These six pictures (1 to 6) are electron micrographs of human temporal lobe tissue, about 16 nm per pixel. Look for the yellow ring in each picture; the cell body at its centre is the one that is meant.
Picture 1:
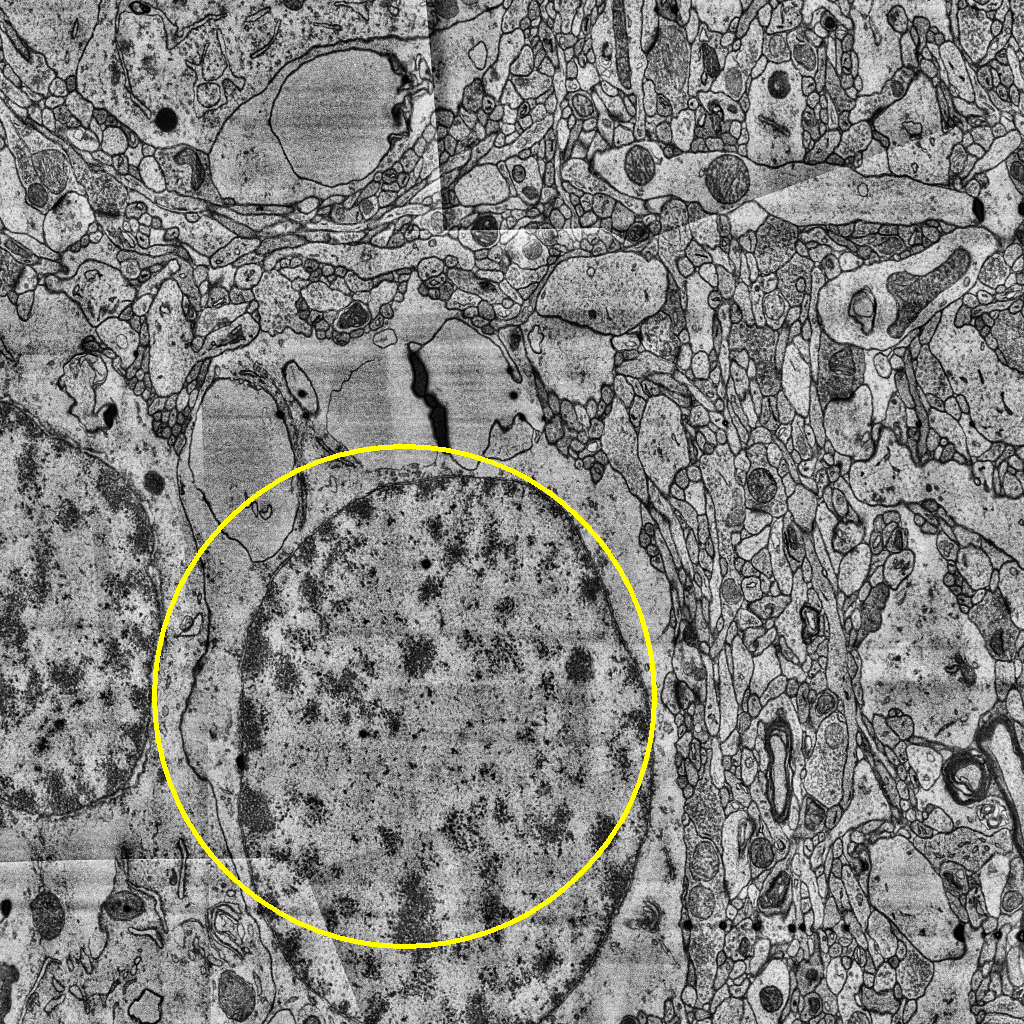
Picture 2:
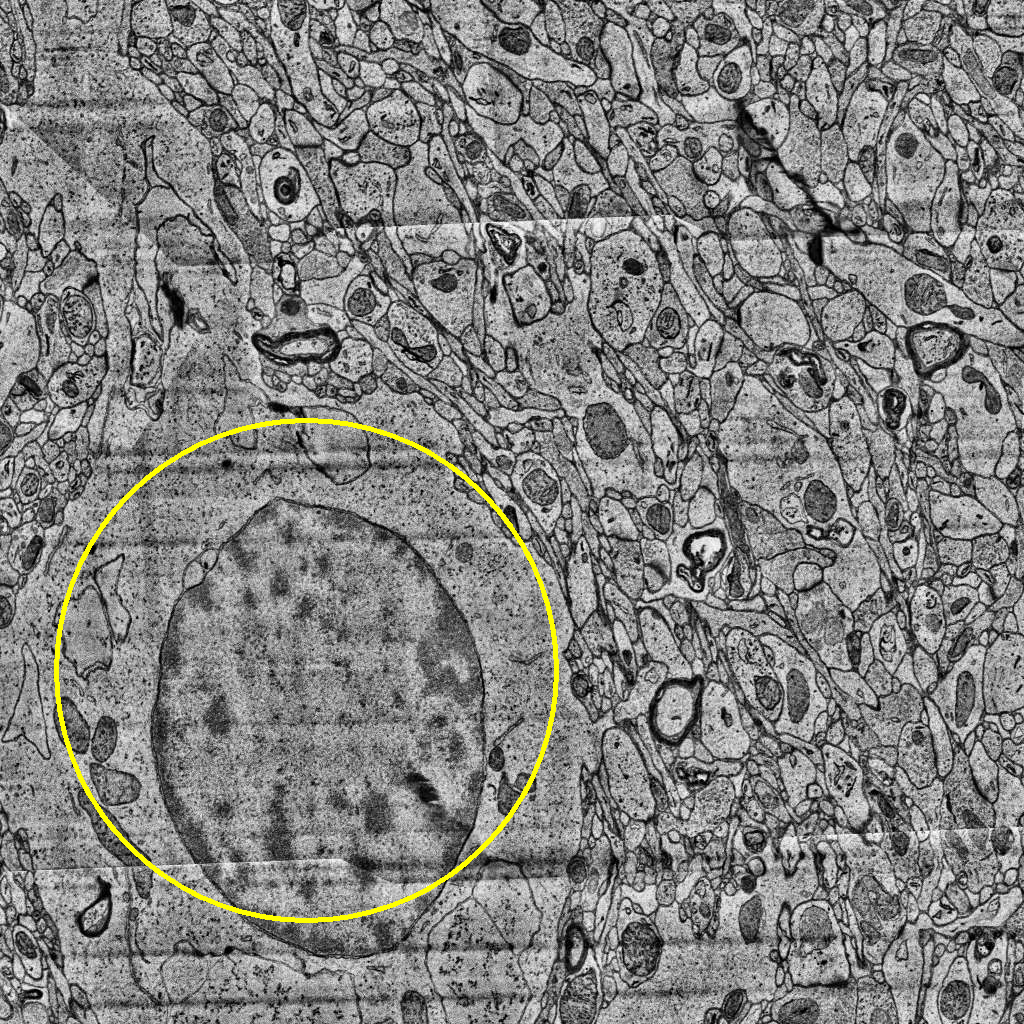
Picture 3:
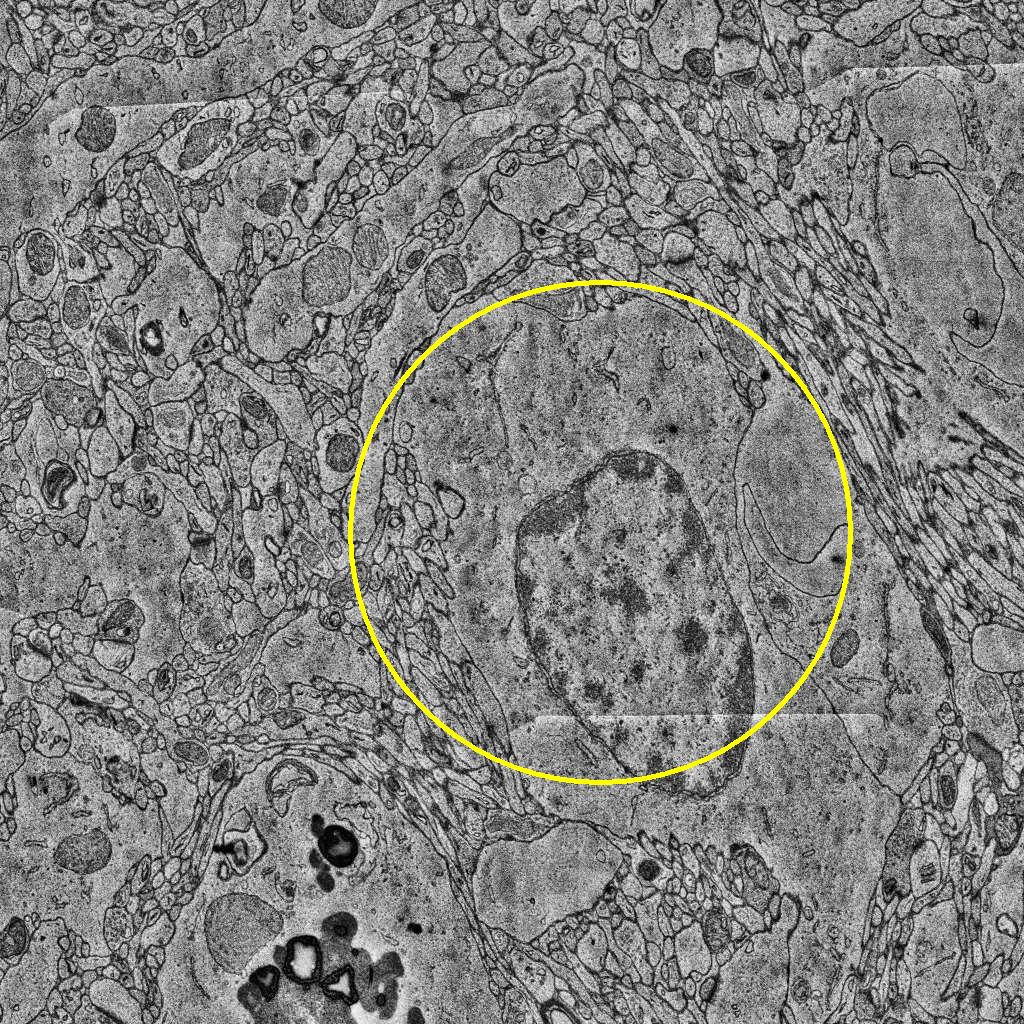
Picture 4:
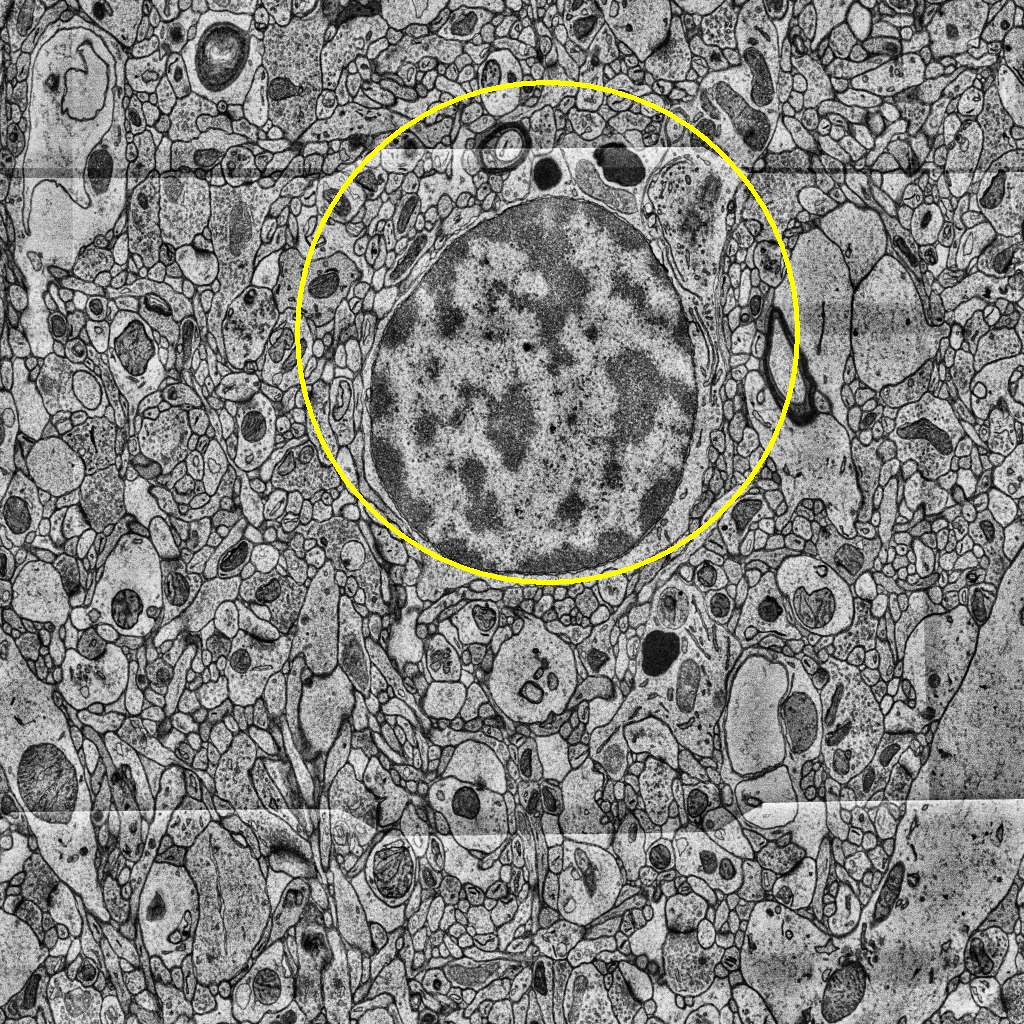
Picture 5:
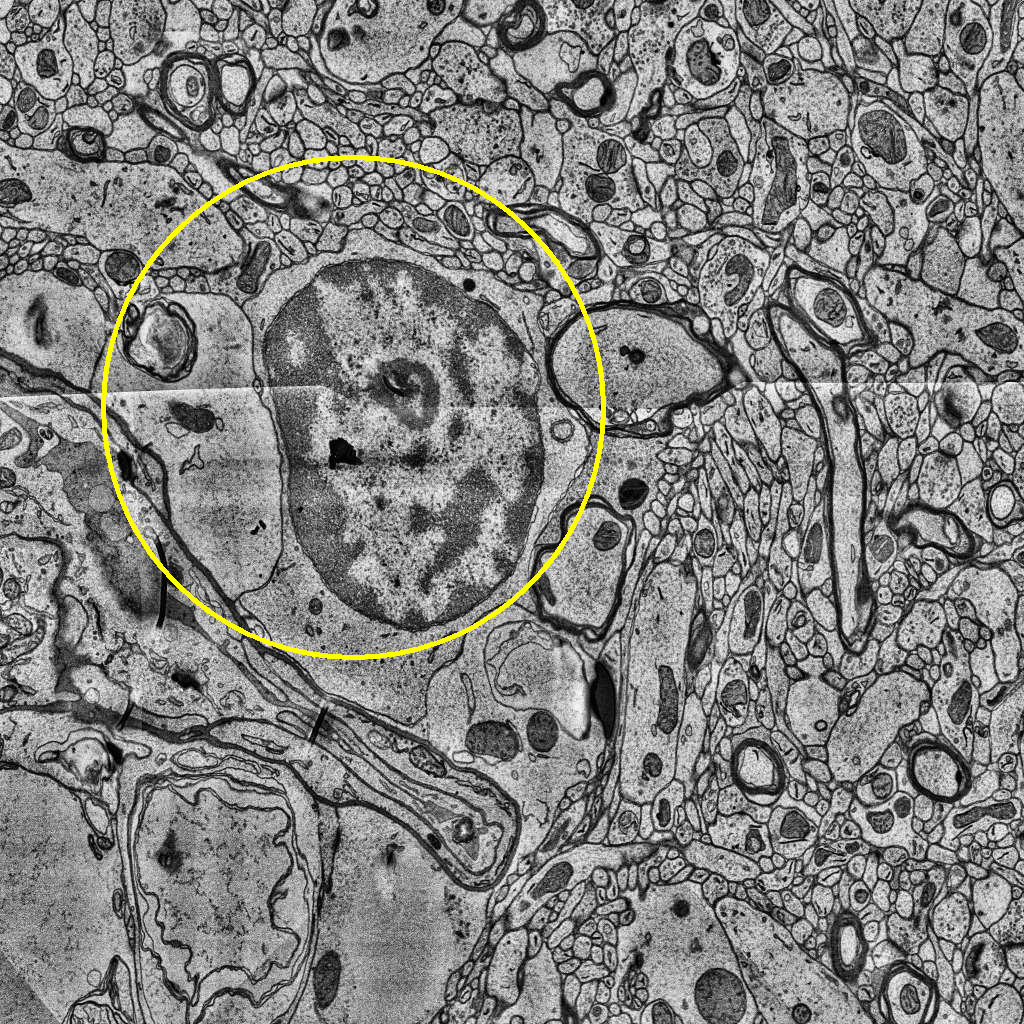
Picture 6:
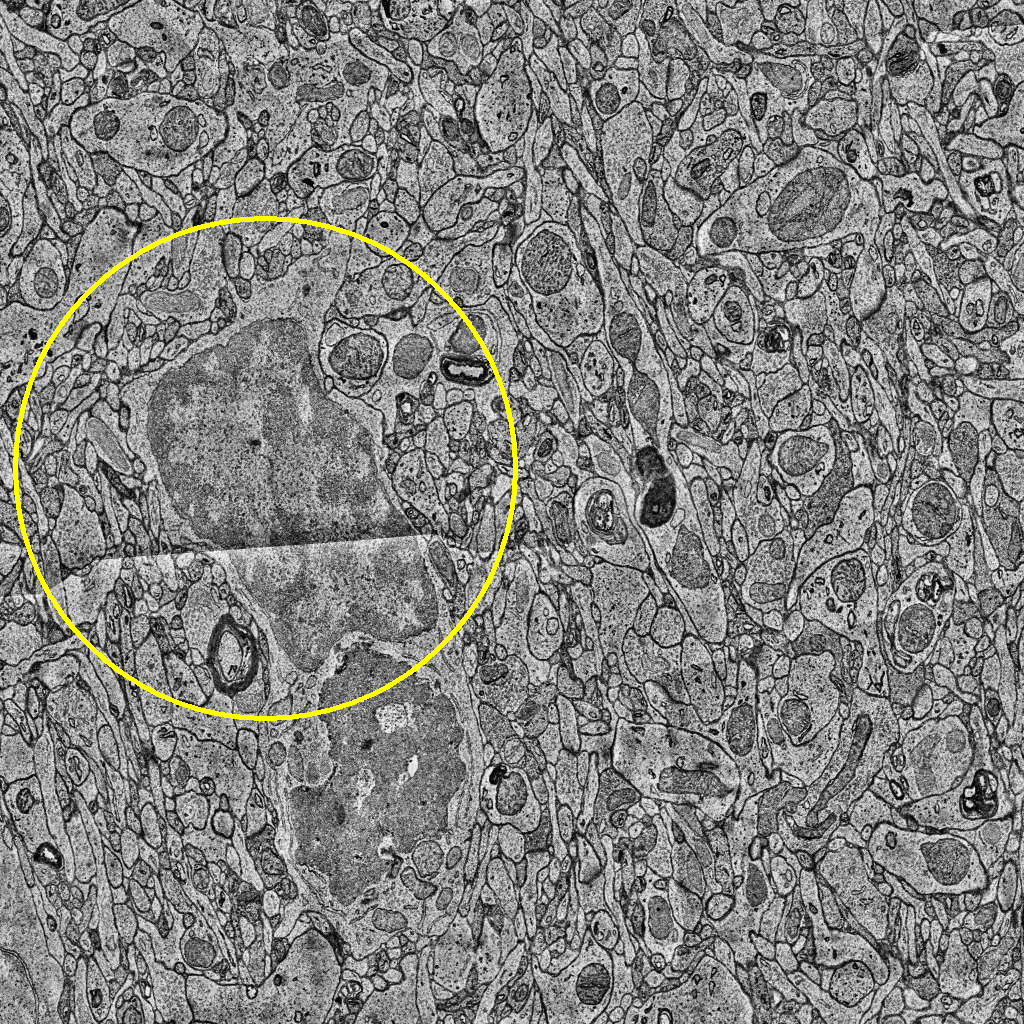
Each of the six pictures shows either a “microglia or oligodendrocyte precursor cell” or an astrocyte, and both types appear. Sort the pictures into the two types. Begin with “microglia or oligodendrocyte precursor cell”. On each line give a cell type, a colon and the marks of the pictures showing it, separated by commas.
microglia or oligodendrocyte precursor cell: 4, 5, 6
astrocyte: 1, 2, 3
